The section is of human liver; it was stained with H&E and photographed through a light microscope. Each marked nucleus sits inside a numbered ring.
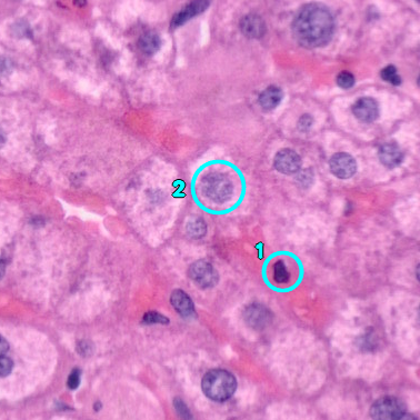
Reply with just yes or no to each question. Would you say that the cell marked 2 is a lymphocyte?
no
